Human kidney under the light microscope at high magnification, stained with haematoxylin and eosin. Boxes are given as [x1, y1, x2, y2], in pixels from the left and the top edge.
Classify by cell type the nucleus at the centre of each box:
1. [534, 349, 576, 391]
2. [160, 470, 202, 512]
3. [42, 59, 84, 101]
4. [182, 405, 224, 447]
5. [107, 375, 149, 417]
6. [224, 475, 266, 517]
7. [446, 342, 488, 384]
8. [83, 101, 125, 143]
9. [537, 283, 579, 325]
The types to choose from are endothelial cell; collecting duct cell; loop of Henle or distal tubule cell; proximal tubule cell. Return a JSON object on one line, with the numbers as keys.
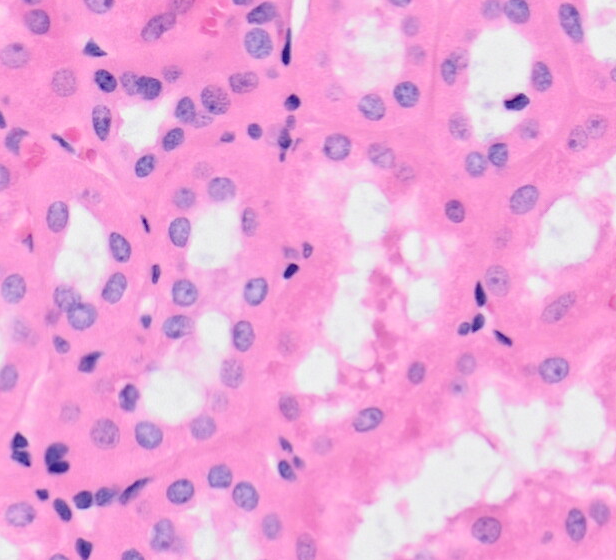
{"1": "proximal tubule cell", "2": "loop of Henle or distal tubule cell", "3": "proximal tubule cell", "4": "loop of Henle or distal tubule cell", "5": "loop of Henle or distal tubule cell", "6": "loop of Henle or distal tubule cell", "7": "proximal tubule cell", "8": "collecting duct cell", "9": "proximal tubule cell"}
